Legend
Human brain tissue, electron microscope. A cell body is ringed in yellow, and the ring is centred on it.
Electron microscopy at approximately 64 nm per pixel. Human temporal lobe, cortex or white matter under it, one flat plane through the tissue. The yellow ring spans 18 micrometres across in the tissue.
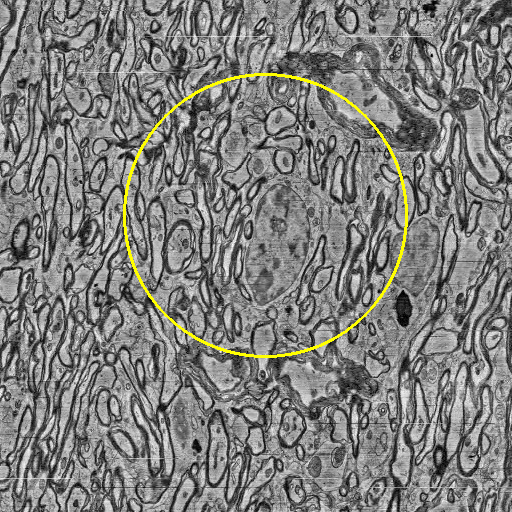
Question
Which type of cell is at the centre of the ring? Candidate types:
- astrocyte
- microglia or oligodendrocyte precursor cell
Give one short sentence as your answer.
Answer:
The yellow ring is centred here on a microglial cell or oligodendrocyte precursor cell.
